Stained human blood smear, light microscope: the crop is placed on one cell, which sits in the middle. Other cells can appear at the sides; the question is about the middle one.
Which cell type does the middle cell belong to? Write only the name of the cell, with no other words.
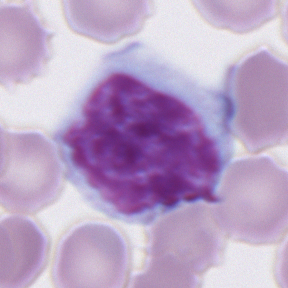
lymphocyte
